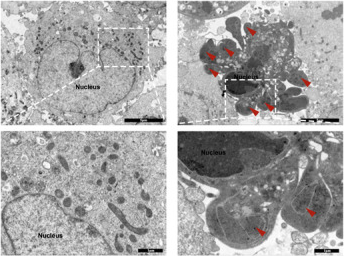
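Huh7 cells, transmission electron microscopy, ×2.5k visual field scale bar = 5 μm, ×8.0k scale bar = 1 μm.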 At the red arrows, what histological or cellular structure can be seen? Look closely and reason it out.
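Apoptotic bodies. The arrows point to dark, electron-dense, rounded masses. The marked masses cluster in one cell of the right-hand column, not in the left-hand cell.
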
